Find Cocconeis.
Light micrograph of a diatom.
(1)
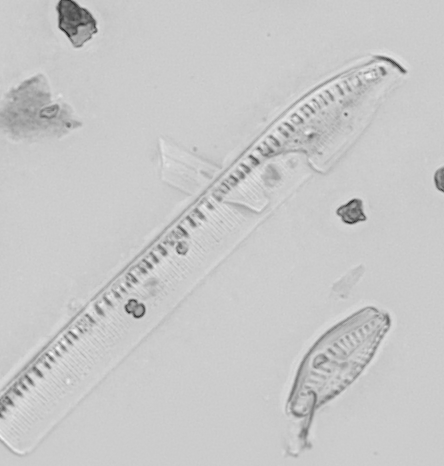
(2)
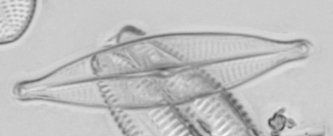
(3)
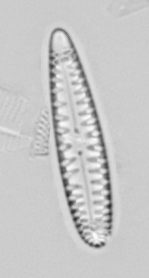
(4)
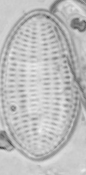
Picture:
4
